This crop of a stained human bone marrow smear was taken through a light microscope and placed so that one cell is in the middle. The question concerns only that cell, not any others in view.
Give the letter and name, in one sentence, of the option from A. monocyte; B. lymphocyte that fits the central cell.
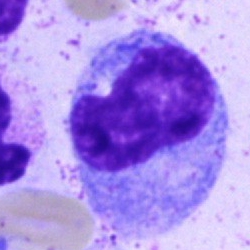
Option A is accurate; the centrally placed cell is a monocyte.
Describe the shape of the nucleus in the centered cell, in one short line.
Please observe that the nucleus consists of one compact round, oval or kidney-shaped mass.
